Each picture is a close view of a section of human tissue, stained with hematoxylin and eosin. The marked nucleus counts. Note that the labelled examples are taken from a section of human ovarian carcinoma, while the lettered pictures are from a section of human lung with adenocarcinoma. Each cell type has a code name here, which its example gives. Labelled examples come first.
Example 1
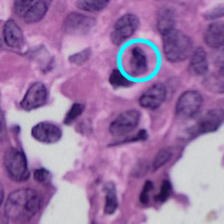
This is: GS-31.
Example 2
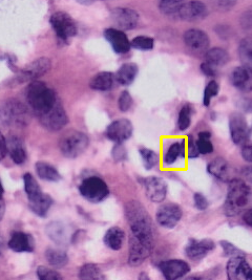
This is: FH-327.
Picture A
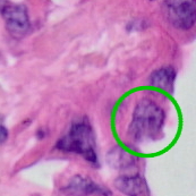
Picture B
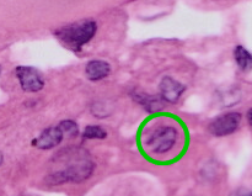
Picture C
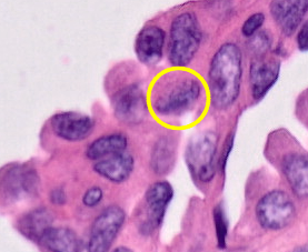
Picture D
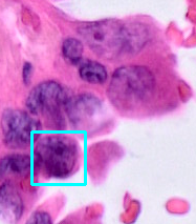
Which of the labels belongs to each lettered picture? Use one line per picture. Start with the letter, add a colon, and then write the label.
A: FH-327.
B: GS-31.
C: FH-327.
D: FH-327.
